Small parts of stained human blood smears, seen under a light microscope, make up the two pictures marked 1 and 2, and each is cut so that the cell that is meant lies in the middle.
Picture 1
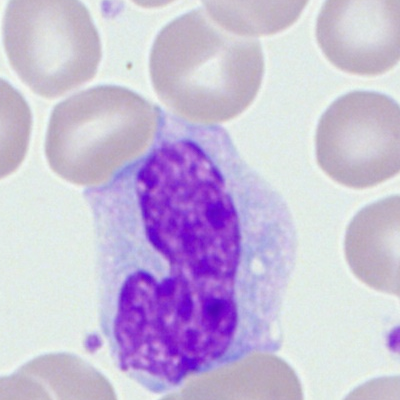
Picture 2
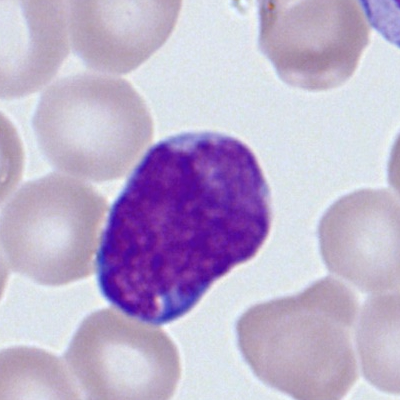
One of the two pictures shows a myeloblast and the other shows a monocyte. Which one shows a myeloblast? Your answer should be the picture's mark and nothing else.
2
